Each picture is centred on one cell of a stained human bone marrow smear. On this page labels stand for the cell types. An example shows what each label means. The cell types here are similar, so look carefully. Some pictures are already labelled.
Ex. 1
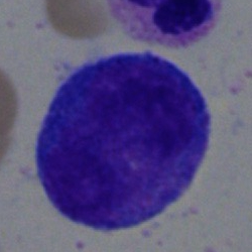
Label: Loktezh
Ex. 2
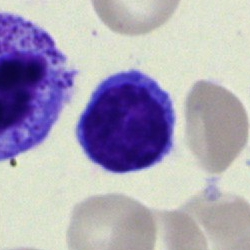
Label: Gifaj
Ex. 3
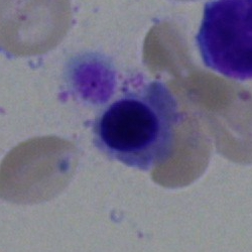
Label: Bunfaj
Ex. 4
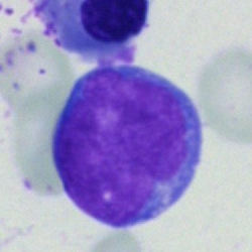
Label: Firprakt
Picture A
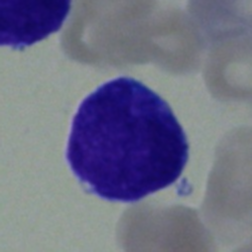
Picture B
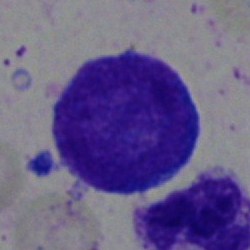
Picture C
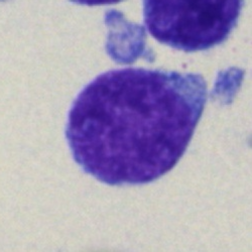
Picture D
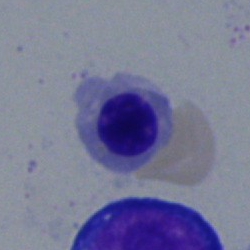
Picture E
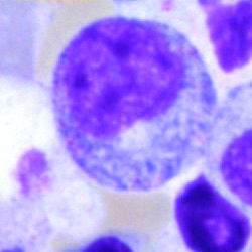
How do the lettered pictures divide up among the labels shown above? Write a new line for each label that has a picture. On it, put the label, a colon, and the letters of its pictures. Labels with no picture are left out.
Loktezh: E
Bunfaj: D
Firprakt: A, B, C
